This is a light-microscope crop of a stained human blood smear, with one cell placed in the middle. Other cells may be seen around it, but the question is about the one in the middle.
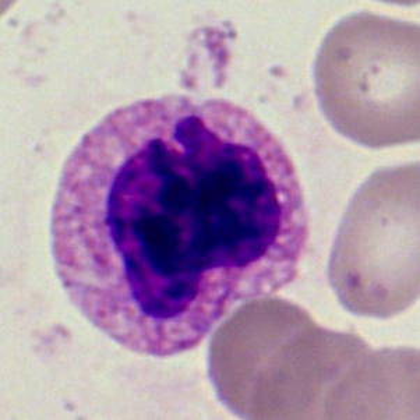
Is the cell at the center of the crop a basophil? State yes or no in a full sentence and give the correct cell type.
Yes, the cell sitting in the center is a basophil.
